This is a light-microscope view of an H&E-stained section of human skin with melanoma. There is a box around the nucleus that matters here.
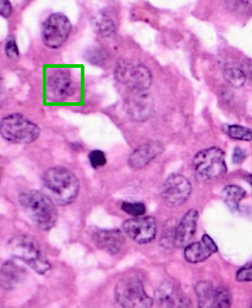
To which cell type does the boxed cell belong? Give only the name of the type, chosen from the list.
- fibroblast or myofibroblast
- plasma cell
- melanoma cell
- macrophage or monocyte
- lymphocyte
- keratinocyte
melanoma cell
